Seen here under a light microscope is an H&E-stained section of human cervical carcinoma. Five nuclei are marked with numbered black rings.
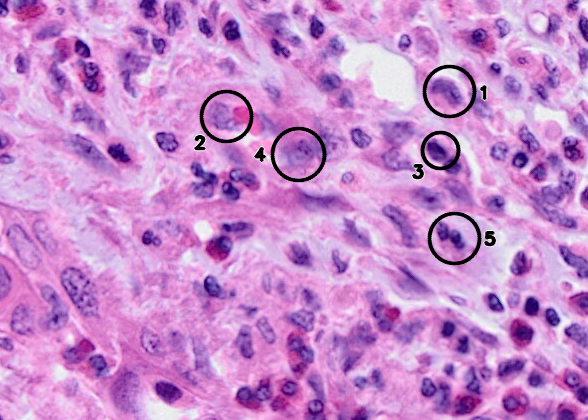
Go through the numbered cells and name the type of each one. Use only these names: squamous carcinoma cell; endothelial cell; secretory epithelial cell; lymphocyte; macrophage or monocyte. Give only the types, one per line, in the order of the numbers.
macrophage or monocyte
endothelial cell
lymphocyte
endothelial cell
lymphocyte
